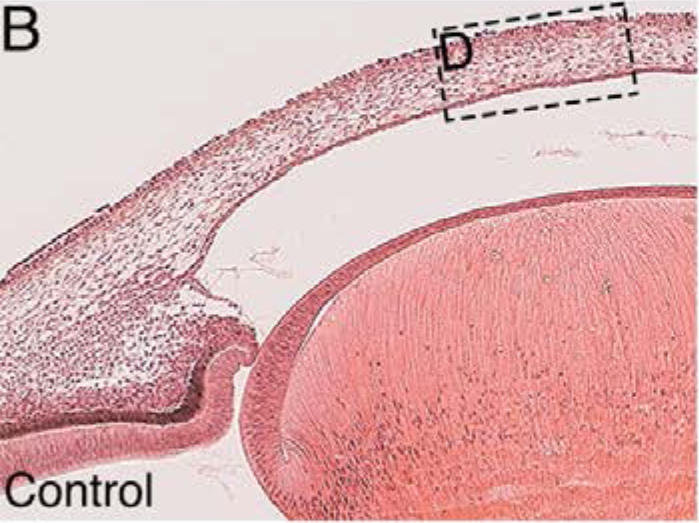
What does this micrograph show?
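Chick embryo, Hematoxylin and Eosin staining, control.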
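This section shows the front of the eye, with the cornea arching across the top over a large lens. The cornea is a thick band of pink tissue crowded with small dark nuclei, bounded by a thin outer cell layer and a thin inner cell layer. The lens below is pink with radiating fibre texture and scattered dark nuclei, and an empty chamber separates it from the cornea. A dashed box marks a stretch of the cornea.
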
